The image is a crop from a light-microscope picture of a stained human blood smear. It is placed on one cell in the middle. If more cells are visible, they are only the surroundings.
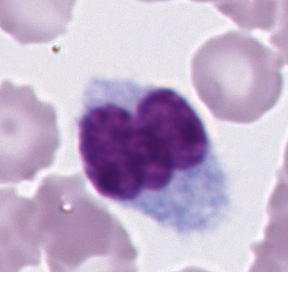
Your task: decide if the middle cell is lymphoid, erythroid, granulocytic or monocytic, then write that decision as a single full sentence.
Originating in the lymphoid lineage is the cell at the center of the crop.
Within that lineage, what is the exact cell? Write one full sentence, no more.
Located at the centre of the crop is a hairy cell.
